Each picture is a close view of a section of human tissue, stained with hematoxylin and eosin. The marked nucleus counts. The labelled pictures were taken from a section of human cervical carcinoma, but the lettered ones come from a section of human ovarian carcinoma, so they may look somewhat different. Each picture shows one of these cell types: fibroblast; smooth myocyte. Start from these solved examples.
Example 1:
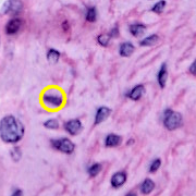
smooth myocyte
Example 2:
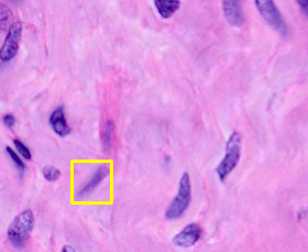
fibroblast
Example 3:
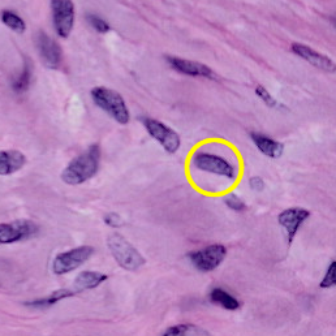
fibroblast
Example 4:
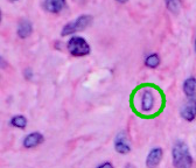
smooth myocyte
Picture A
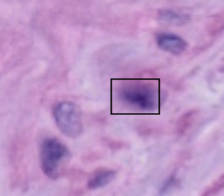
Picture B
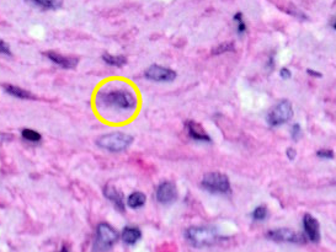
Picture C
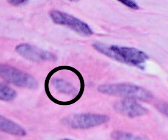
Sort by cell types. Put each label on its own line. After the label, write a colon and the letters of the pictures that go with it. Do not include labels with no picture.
fibroblast: B
smooth myocyte: A, C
